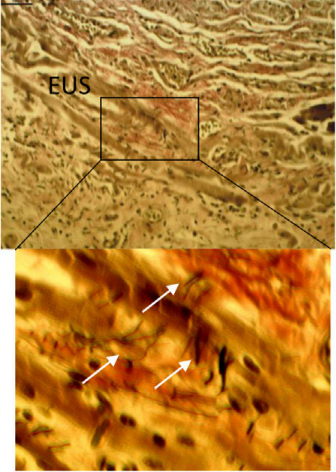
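The tissue appears mainly yellowish-tan, and the region labelled as the sphincter is composed of elongated bundles. Thin black, wavy fibers are visible among the bundles, and white arrows point to them. These black fibers run in differing directions and look irregular rather than aligned.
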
